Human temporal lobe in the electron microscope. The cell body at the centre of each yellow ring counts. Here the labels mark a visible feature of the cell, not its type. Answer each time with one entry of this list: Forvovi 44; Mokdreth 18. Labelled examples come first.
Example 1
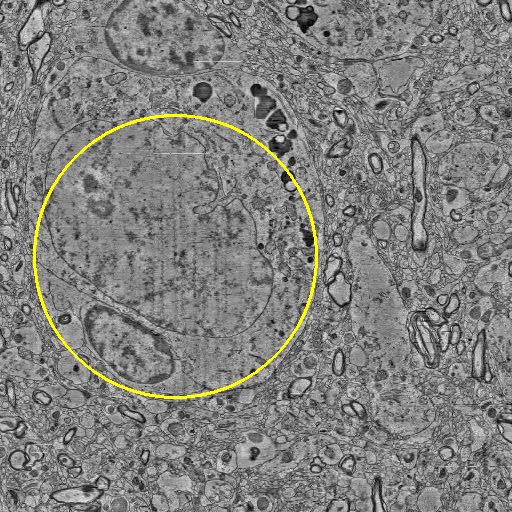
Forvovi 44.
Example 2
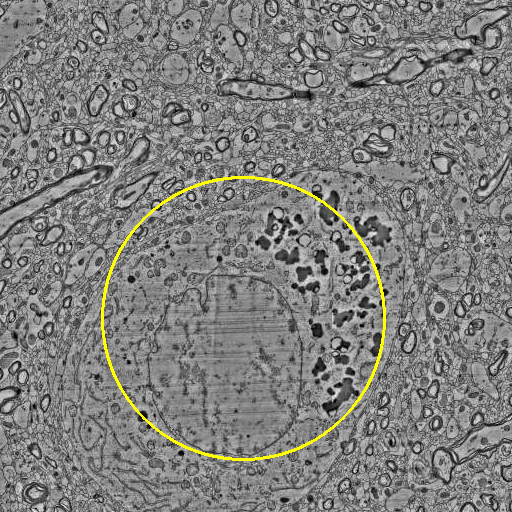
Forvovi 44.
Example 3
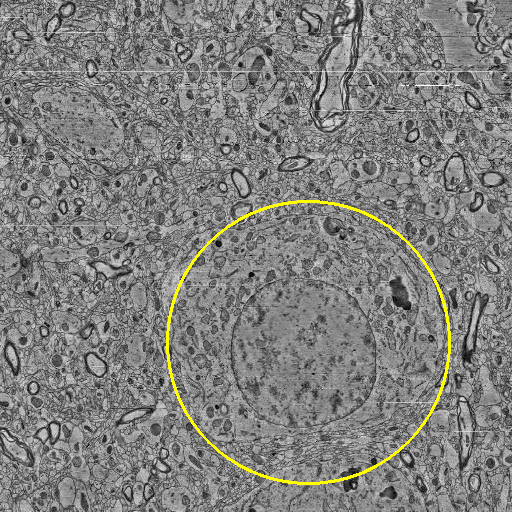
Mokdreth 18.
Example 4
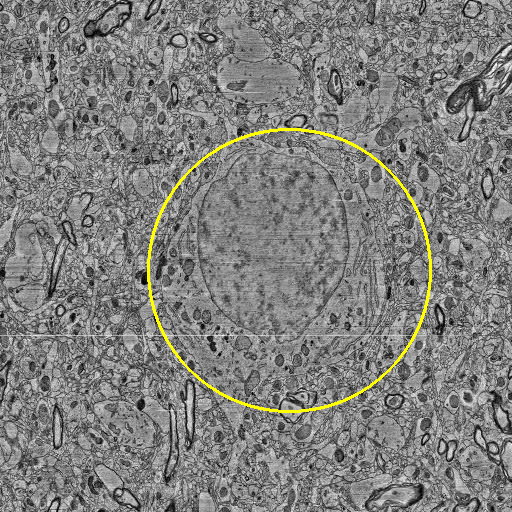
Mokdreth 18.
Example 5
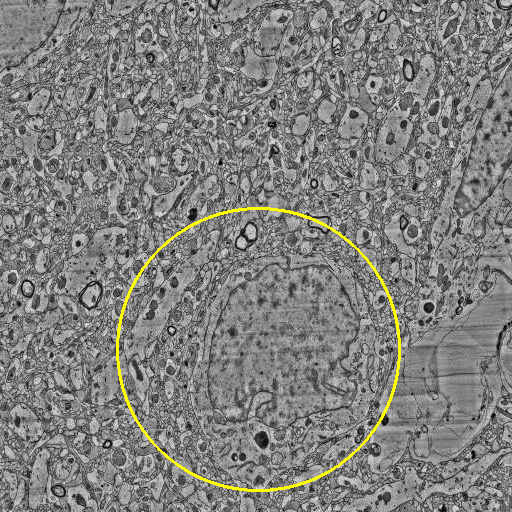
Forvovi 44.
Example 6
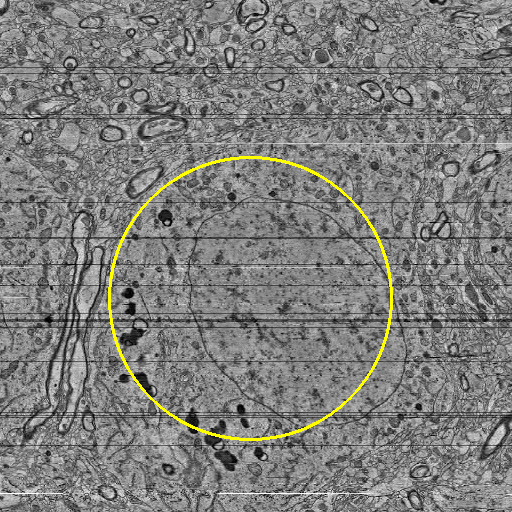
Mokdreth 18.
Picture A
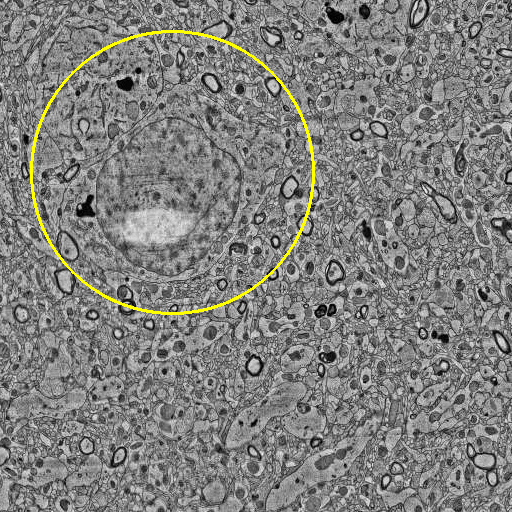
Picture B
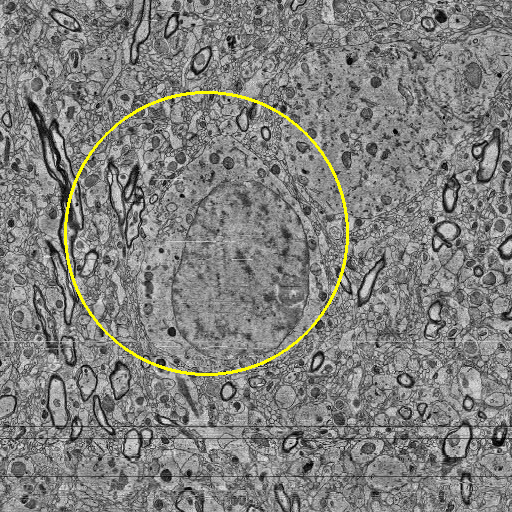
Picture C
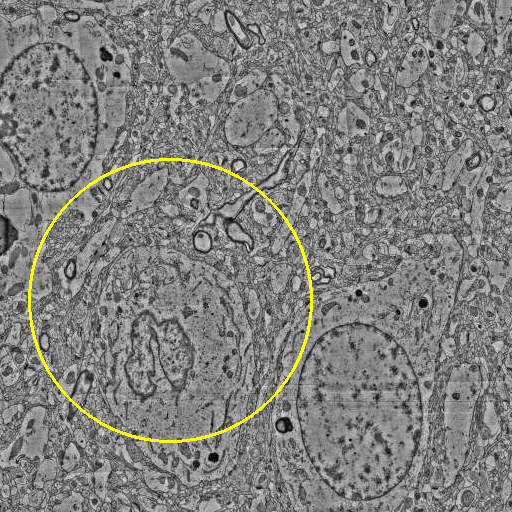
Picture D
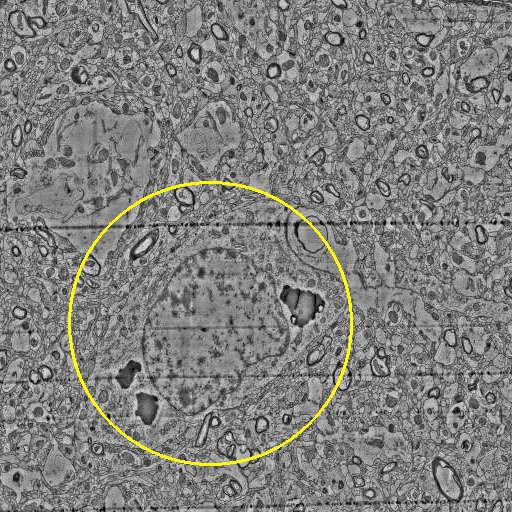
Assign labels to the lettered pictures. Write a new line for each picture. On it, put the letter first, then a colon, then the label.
A: Mokdreth 18.
B: Mokdreth 18.
C: Forvovi 44.
D: Mokdreth 18.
